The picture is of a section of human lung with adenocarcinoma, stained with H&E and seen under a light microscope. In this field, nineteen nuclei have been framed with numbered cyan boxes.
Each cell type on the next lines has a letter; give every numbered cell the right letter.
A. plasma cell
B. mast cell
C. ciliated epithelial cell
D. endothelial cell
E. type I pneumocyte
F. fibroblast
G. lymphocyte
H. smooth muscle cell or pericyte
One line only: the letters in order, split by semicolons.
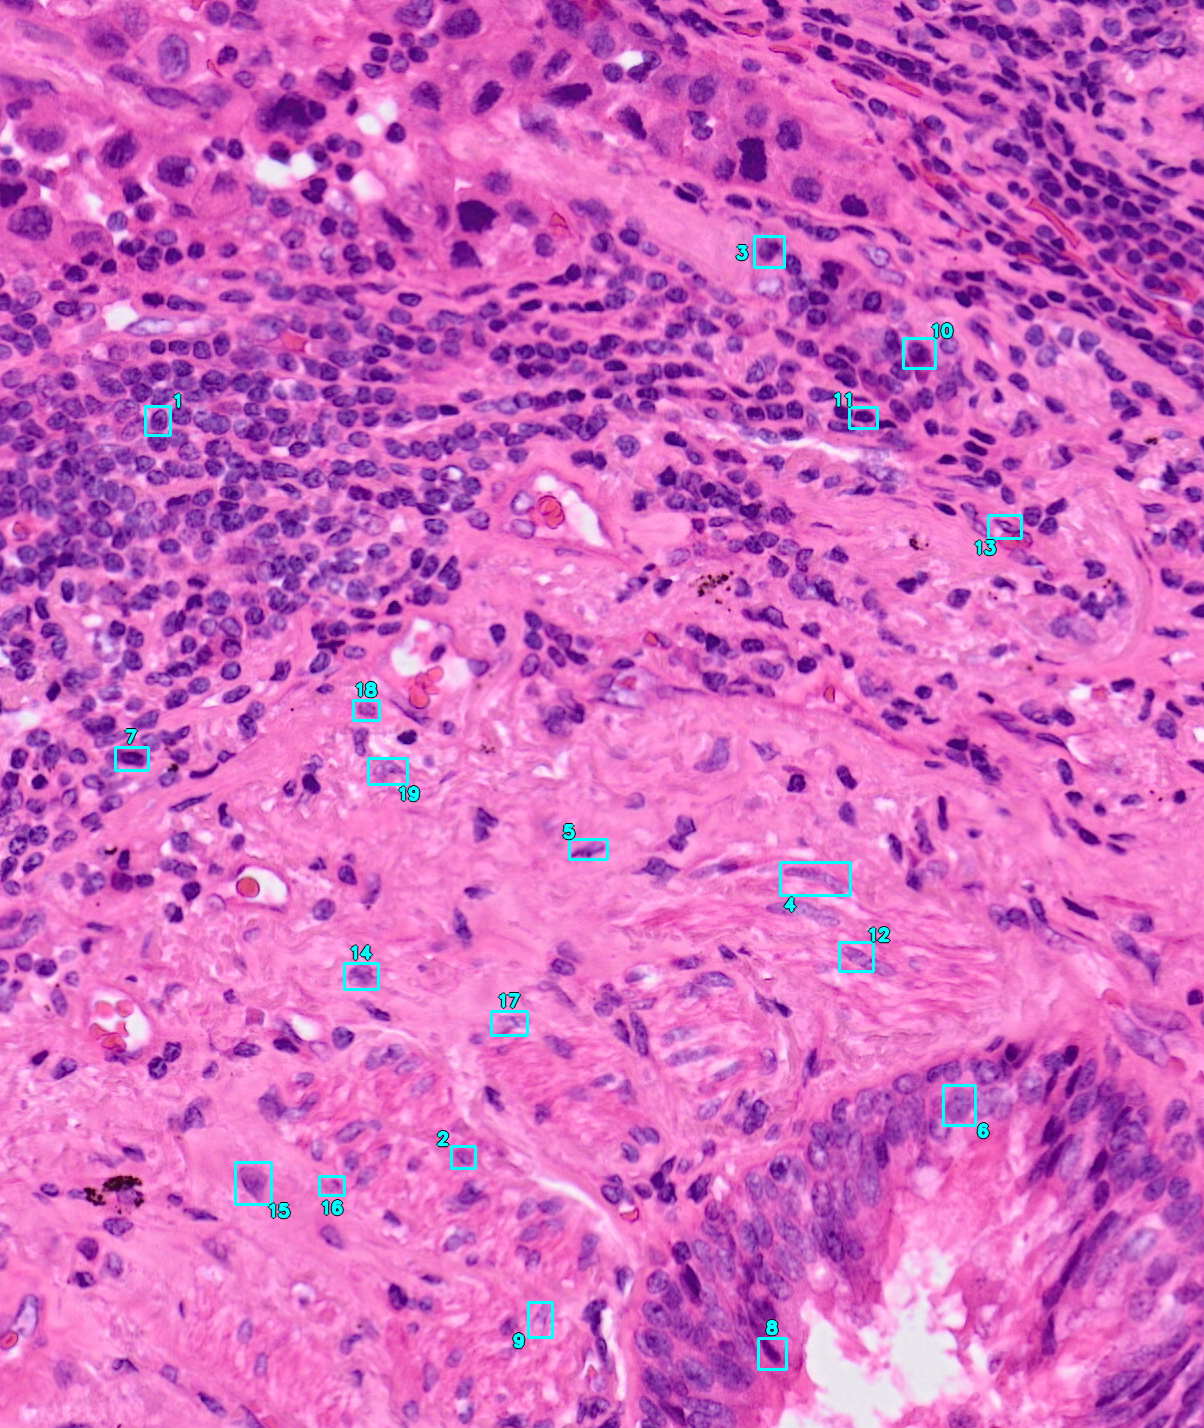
G; H; A; H; F; C; A; C; H; A; G; H; D; F; F; H; H; B; F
